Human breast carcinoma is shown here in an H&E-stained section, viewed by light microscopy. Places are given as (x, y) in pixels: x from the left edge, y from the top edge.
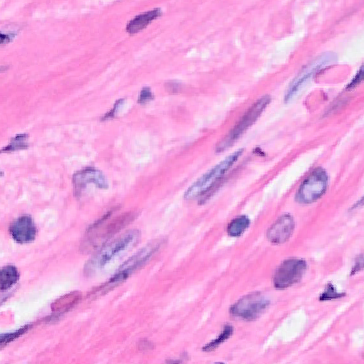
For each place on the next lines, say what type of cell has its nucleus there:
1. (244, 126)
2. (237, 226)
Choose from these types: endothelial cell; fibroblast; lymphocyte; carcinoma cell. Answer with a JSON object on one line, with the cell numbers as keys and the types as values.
{"1": "endothelial cell", "2": "lymphocyte"}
